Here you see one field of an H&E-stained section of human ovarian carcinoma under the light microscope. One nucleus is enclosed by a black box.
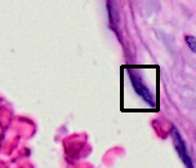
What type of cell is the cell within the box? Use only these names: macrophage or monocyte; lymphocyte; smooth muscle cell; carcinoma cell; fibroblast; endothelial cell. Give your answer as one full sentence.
In terms of identity, the cell within the box is an endothelial cell.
